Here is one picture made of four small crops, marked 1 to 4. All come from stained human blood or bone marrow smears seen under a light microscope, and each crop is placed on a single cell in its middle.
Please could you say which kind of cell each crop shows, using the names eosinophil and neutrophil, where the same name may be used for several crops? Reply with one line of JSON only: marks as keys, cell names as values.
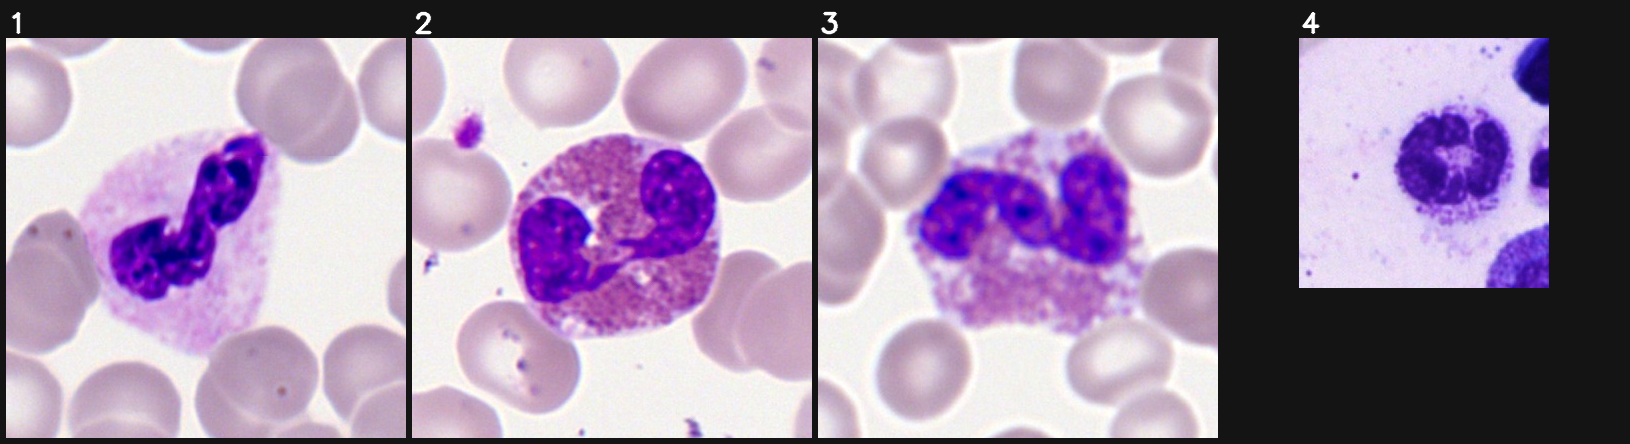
{"1": "neutrophil", "2": "eosinophil", "3": "eosinophil", "4": "neutrophil"}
